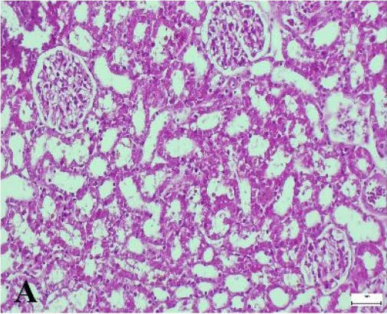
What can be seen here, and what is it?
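This is kidney cortex with several round glomeruli, each a tuft of capillaries inside a thin capsule with a clear space around it, set among many cross-sectioned tubules. The tubules are lined by pink-staining epithelial cells with round purple nuclei around open, pale lumina. Glomeruli and tubules lie closely packed with little tissue between them. No crowding of cells, debris in lumina or dense deposits are evident, so the architecture looks normal.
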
